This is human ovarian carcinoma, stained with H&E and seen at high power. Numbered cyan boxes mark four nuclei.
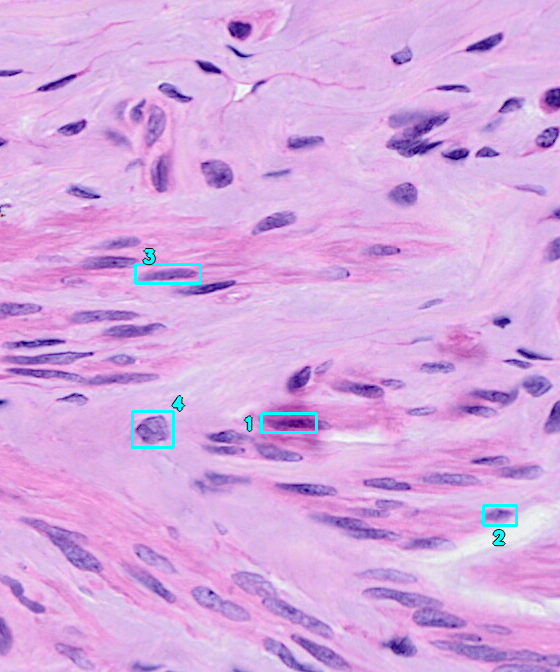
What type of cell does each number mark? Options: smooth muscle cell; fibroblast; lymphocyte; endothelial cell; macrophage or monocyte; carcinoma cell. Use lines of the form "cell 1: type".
cell 1: smooth muscle cell
cell 2: smooth muscle cell
cell 3: smooth muscle cell
cell 4: fibroblast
